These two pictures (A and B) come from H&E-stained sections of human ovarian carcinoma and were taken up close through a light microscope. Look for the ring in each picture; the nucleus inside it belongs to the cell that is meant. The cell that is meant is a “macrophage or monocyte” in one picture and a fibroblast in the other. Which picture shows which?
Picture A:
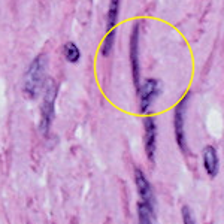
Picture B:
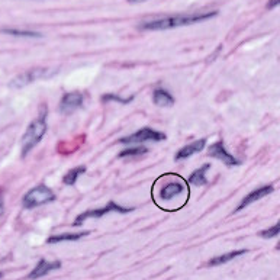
A: fibroblast
B: macrophage or monocyte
